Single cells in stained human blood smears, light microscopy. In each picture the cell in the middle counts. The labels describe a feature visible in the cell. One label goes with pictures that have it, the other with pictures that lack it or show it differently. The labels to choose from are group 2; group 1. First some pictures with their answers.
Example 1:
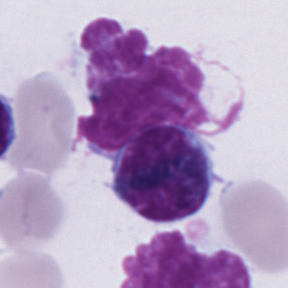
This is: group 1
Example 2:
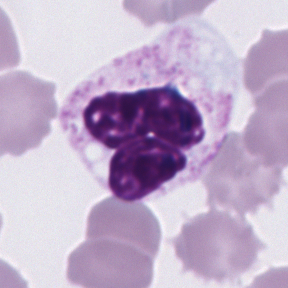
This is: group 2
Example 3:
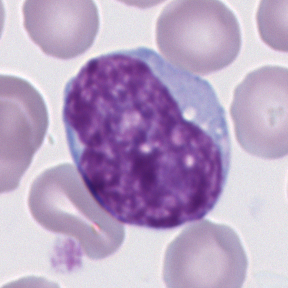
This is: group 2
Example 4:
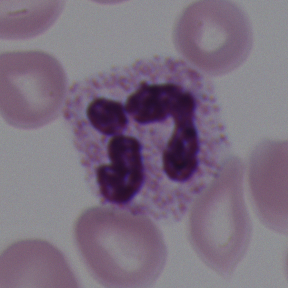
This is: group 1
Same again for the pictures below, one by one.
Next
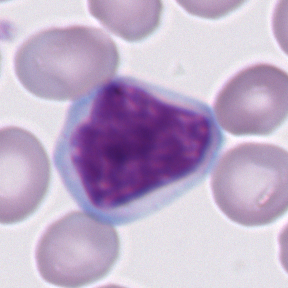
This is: group 1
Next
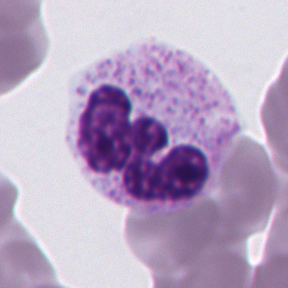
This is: group 1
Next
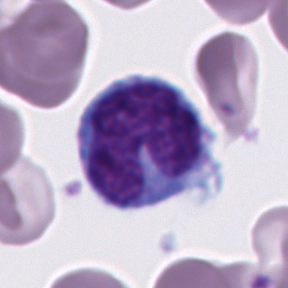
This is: group 1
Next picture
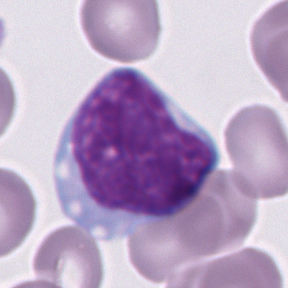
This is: group 2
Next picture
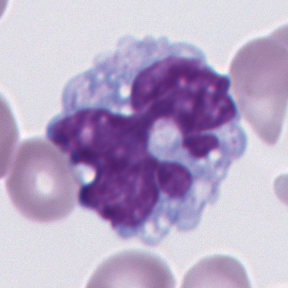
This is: group 2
